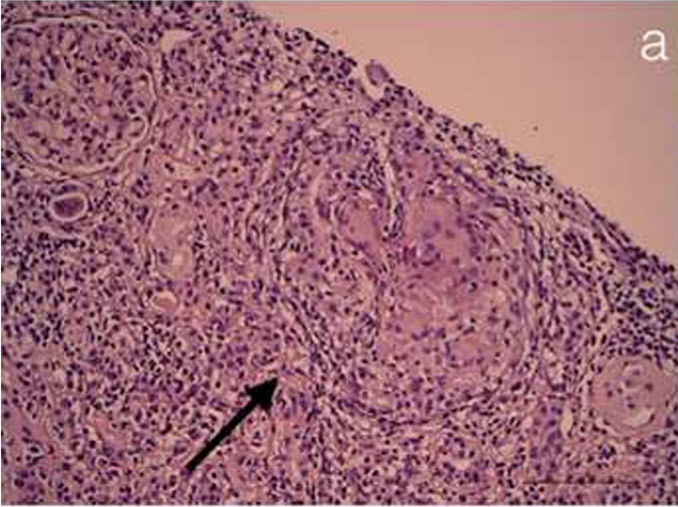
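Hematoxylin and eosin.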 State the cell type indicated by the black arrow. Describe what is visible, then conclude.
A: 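The arrow points to the edge of a nodular cluster of pale pink cells. Large cells with abundant pink cytoplasm lie within the cluster. That points to this answer: multinucleated giant cells.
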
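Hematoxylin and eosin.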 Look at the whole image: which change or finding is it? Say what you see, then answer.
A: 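Many small round dark nuclei crowd the spaces between tubules. The infiltrate surrounds the nodular cell clusters.
Interstitial infiltration by mononuclear cells.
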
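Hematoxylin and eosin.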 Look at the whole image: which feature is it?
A: Noncaseating granulomas.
